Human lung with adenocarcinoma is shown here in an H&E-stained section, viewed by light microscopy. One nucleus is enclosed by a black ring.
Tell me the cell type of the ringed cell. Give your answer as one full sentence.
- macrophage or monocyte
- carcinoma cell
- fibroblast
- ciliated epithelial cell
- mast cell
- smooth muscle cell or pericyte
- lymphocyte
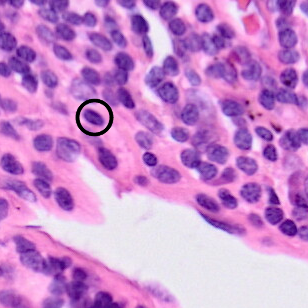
Right, so the ringed cell is a lymphocyte, to answer that.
